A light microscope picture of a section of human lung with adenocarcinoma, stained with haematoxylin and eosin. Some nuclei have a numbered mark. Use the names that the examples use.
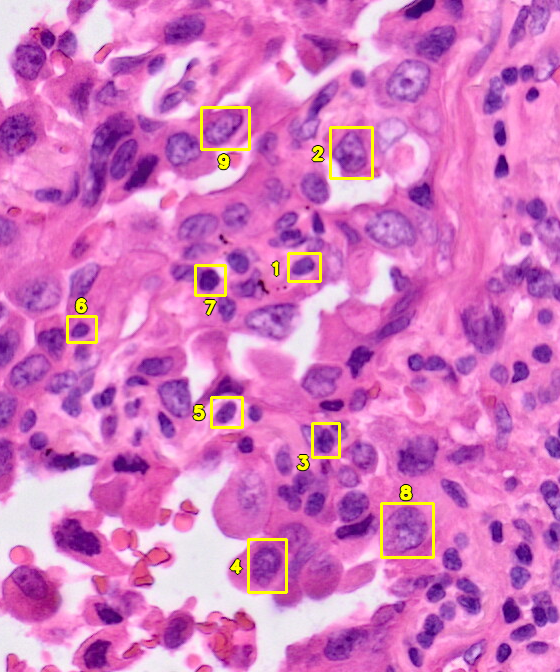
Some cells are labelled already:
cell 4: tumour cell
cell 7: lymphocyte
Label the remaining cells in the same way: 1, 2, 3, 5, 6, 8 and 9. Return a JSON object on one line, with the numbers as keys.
{"1": "lymphocyte", "2": "tumour cell", "3": "lymphocyte", "5": "lymphocyte", "6": "lymphocyte", "8": "tumour cell", "9": "tumour cell"}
